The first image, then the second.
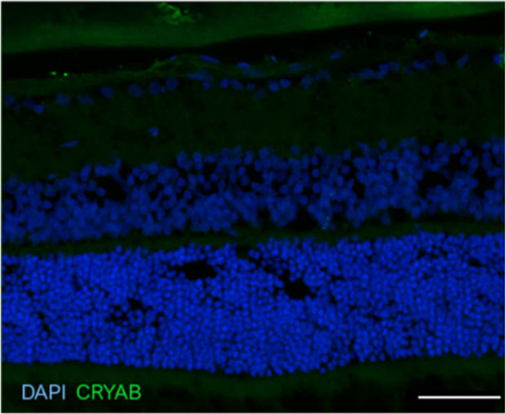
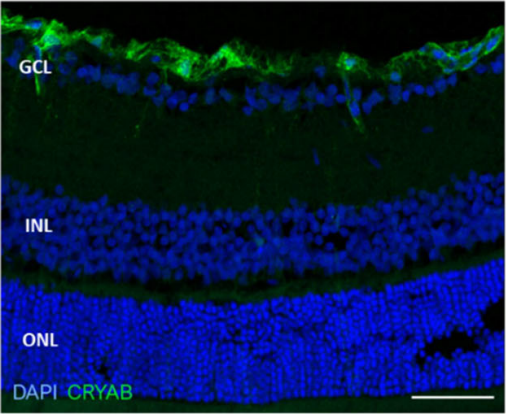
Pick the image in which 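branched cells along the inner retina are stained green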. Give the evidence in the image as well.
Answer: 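First image: the inner retinal surface shows no green branched cells, only faint background. Second image: bright green branched cells with processes lie along the inner retinal surface. That points to this answer: the second image.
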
